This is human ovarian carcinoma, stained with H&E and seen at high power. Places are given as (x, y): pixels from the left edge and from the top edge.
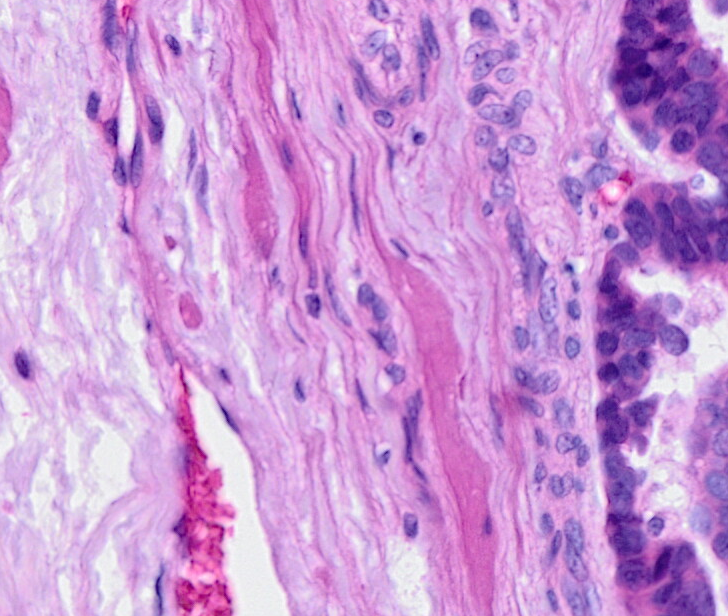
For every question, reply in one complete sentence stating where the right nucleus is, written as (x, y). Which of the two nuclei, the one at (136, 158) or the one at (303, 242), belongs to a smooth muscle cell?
Of the two, the nucleus lying at (303, 242) is the one belonging to a smooth muscle cell.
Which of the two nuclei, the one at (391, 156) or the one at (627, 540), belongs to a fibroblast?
The nucleus that belongs to a fibroblast is located at (391, 156).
